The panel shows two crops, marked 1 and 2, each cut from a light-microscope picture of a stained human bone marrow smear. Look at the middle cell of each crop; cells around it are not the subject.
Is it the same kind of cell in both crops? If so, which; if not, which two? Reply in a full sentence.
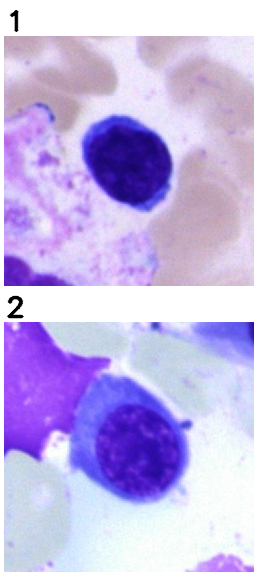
No, a normoblast is the cell of crop 2, while a lymphocyte is the cell of crop 1.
